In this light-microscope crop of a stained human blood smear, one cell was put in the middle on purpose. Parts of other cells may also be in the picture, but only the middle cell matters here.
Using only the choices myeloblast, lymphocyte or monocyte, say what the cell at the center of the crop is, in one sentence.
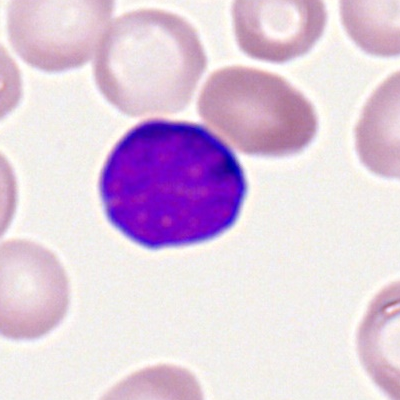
Occupying the centre of the crop is a myeloblast.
